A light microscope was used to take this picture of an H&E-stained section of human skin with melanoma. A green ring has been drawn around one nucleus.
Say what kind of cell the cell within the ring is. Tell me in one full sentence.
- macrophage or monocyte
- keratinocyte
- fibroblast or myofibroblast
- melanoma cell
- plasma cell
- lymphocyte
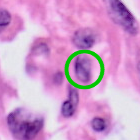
For cell typing purposes, the cell within the ring is a macrophage or monocyte.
